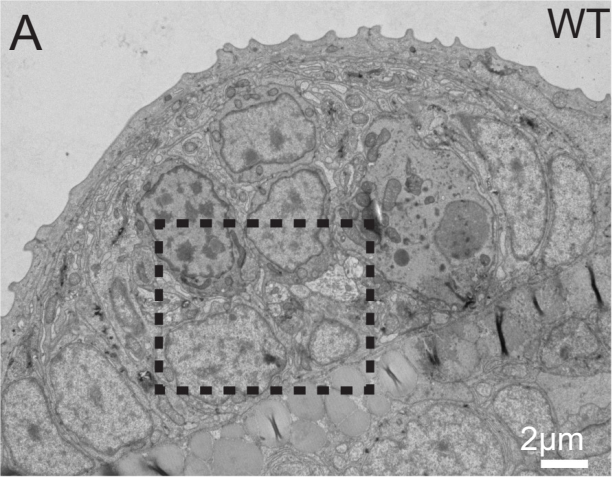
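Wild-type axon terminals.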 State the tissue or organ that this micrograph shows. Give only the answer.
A: Lateral line neuromasts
